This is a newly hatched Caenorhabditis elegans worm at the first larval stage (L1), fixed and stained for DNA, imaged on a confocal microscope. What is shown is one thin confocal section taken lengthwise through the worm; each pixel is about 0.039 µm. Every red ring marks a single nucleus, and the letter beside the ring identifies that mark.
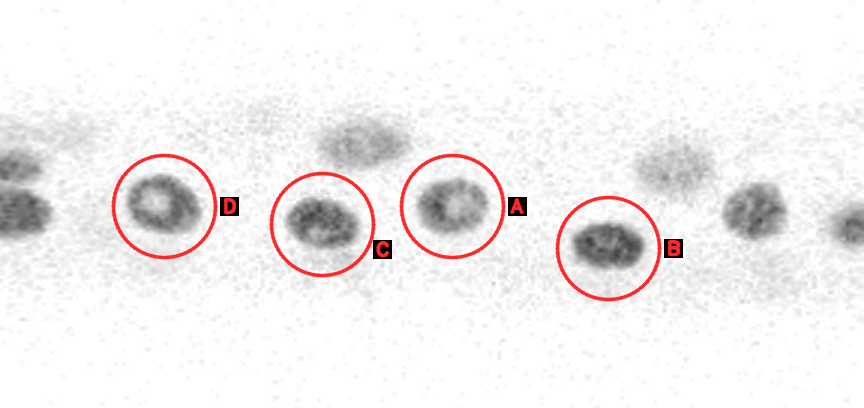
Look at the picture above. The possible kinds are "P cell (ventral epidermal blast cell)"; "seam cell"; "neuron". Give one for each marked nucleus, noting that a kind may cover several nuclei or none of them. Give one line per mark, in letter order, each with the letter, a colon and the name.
A: seam cell
B: P cell (ventral epidermal blast cell)
C: P cell (ventral epidermal blast cell)
D: seam cell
